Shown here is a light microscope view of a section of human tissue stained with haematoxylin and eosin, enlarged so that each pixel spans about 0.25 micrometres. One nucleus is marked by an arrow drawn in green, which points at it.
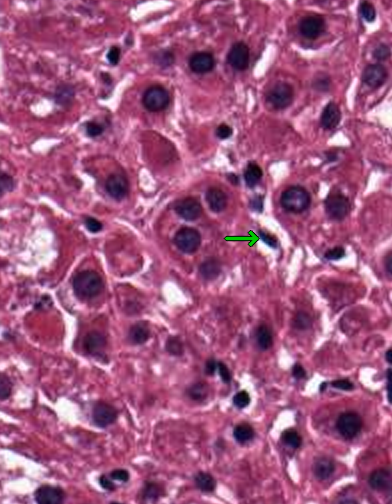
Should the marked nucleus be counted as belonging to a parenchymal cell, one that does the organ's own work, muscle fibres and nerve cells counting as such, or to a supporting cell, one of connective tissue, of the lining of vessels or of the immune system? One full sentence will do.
The marked nucleus is contained in a supporting cell.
